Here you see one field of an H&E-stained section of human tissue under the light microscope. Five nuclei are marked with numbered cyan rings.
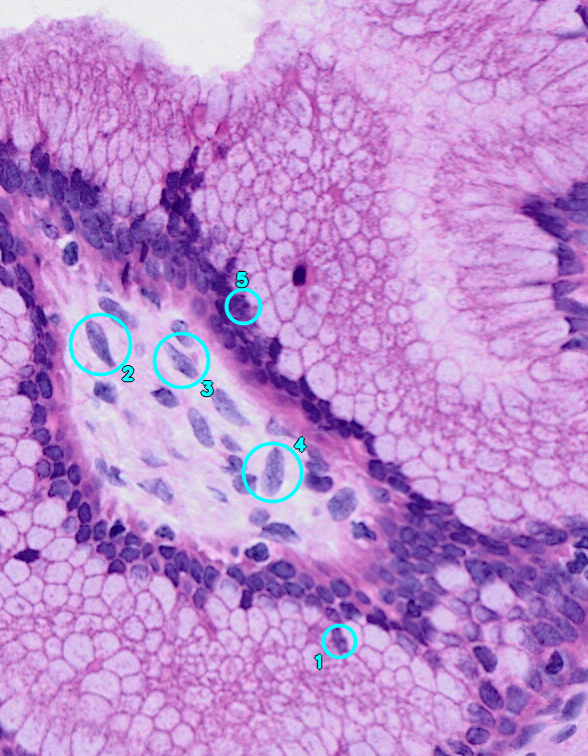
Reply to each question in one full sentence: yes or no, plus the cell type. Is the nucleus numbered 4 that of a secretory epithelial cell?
No, the cell tagged 4 is a fibroblast, and not a secretory epithelial cell.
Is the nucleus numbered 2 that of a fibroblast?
Yes, the cell with the number 2 is a fibroblast.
